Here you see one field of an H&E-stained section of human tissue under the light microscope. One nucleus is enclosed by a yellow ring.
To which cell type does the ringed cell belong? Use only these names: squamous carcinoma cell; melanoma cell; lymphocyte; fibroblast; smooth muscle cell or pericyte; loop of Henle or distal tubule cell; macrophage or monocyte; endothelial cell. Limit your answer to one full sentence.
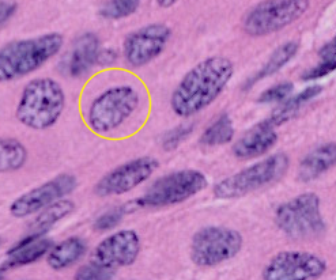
In this section of tissue, the ringed cell is a squamous carcinoma cell.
